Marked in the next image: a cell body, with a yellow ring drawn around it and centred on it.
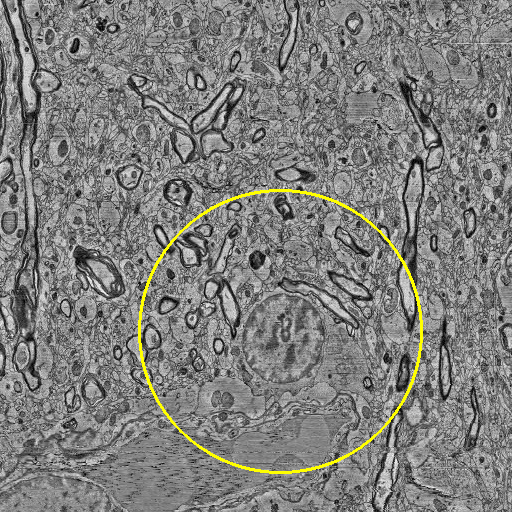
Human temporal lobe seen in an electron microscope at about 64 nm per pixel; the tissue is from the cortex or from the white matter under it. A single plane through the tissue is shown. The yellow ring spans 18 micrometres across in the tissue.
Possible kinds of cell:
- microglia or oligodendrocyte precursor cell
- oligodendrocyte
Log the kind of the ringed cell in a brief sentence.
The ringed cell body is that of an oligodendrocyte.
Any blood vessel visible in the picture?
Yes, a blood vessel is present in this picture.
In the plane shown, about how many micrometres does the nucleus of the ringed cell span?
In this plane, the nucleus of the cell at the centre of the ring is about 6 micrometres across.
